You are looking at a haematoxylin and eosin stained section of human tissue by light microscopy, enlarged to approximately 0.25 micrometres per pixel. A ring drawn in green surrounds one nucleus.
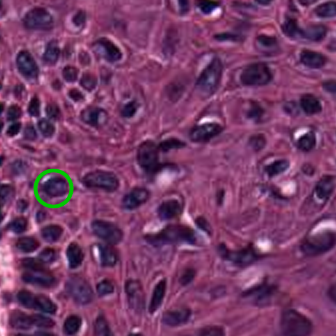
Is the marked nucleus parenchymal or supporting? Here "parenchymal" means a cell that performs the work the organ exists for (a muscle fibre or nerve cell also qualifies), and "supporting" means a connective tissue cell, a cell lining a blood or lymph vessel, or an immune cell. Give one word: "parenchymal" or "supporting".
parenchymal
